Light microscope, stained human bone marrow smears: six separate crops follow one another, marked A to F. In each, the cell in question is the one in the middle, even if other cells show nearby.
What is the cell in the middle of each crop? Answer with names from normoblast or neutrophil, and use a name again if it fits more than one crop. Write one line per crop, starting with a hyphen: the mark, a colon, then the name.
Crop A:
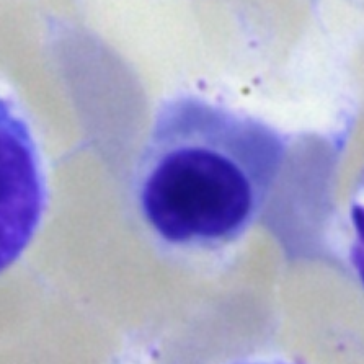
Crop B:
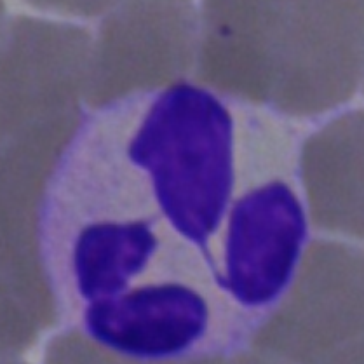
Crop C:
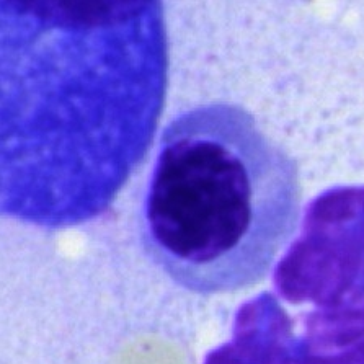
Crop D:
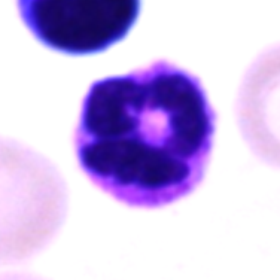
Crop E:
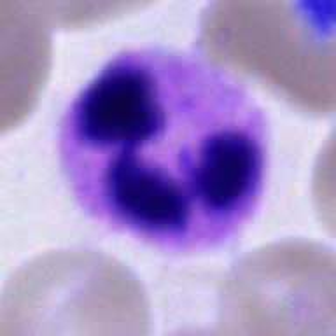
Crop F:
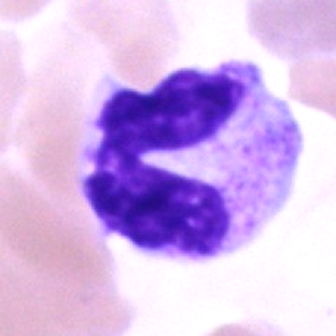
- A: normoblast
- B: neutrophil
- C: normoblast
- D: neutrophil
- E: neutrophil
- F: neutrophil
